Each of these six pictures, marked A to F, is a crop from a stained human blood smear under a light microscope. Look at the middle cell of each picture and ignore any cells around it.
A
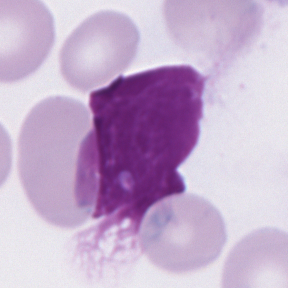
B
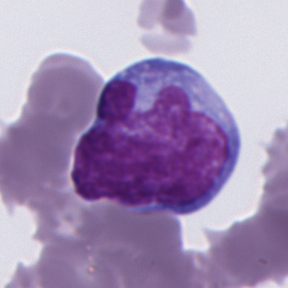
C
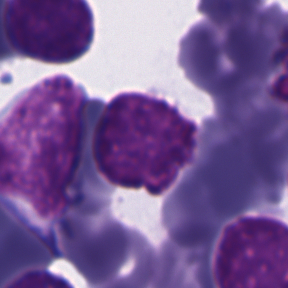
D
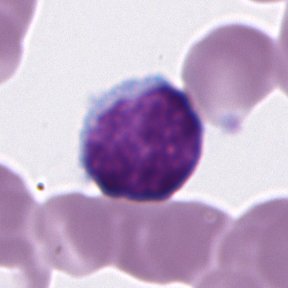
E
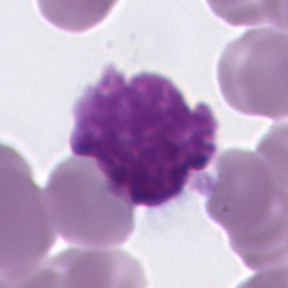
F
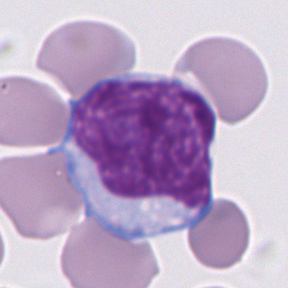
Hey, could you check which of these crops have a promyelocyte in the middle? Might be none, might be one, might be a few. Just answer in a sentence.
There is no crop here that shows a promyelocyte.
